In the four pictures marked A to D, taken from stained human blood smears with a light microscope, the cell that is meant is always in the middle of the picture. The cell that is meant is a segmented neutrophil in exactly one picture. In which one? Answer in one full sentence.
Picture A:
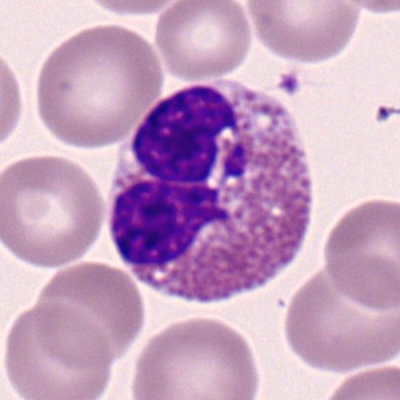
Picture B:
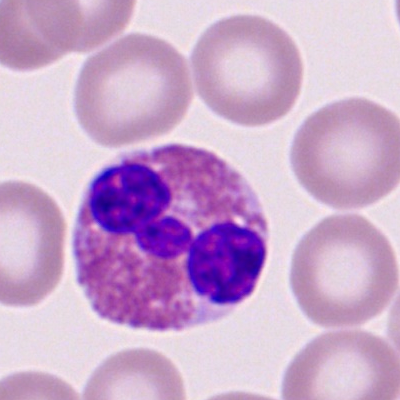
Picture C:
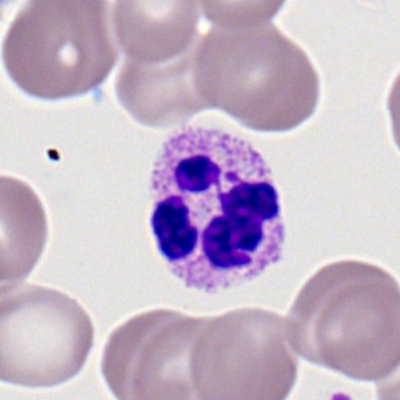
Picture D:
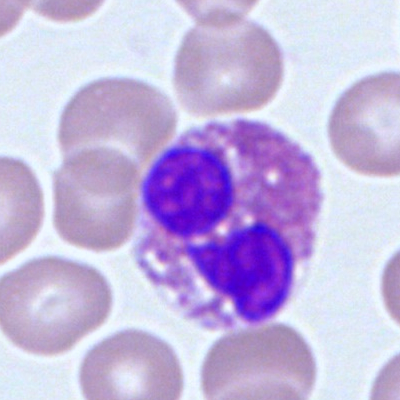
Picture C shows the segmented neutrophil.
